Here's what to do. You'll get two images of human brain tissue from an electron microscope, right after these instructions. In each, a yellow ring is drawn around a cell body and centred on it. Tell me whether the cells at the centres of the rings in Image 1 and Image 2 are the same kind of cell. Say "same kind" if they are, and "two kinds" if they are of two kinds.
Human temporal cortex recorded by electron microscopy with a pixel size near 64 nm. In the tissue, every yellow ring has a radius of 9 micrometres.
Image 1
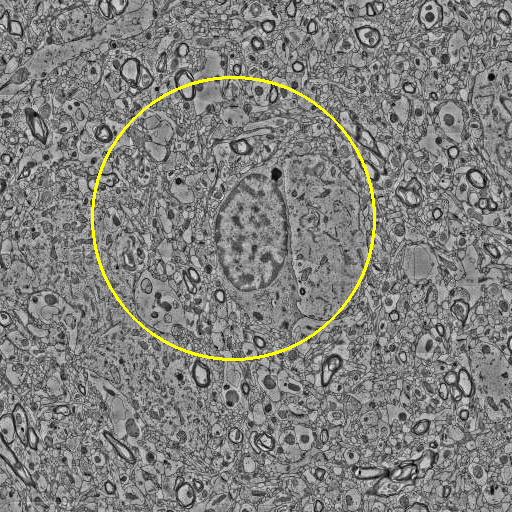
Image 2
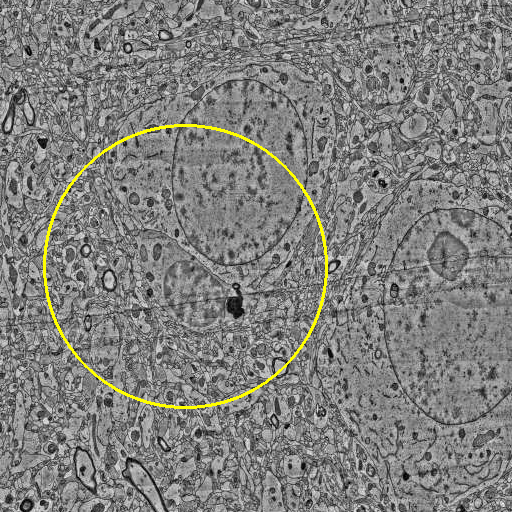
same kind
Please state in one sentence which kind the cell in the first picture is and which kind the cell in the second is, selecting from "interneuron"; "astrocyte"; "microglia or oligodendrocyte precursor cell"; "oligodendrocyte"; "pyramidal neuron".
Each of the two rings is centred on an oligodendrocyte.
